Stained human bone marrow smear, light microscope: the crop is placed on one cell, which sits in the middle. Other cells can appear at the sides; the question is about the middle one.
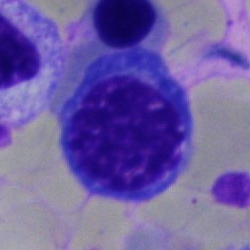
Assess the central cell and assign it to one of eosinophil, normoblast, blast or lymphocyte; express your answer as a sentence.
In the middle of this smear crop, the cell is a normoblast.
